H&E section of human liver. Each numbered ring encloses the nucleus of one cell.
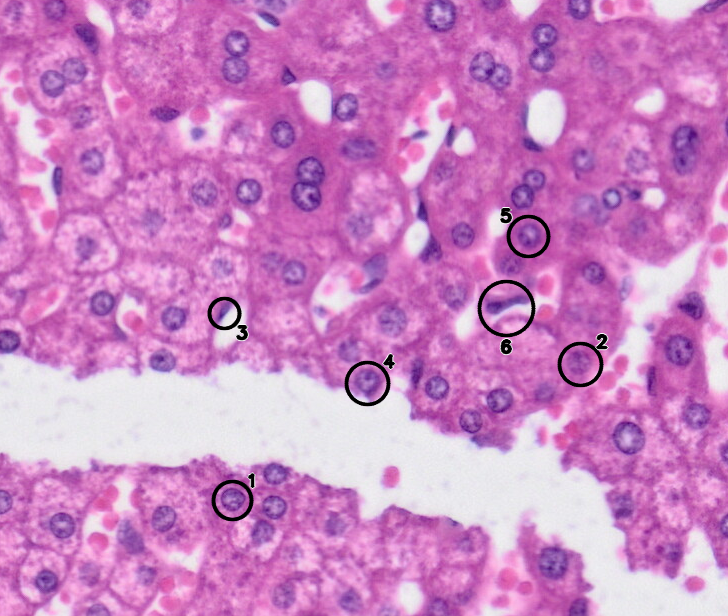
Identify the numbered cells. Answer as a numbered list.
1. hepatocyte
2. hepatocyte
3. endothelial cell
4. hepatocyte
5. hepatocyte
6. Kupffer cell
